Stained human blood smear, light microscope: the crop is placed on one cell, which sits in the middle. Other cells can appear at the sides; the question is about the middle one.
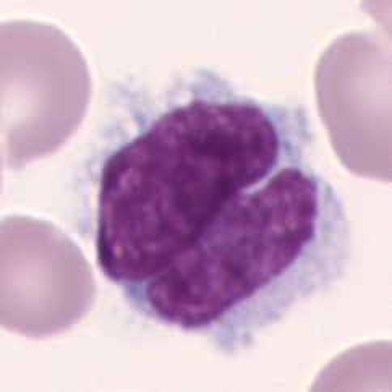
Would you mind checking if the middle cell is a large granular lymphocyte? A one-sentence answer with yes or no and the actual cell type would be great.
No, the central cell is classed as a hairy cell and not as a large granular lymphocyte.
